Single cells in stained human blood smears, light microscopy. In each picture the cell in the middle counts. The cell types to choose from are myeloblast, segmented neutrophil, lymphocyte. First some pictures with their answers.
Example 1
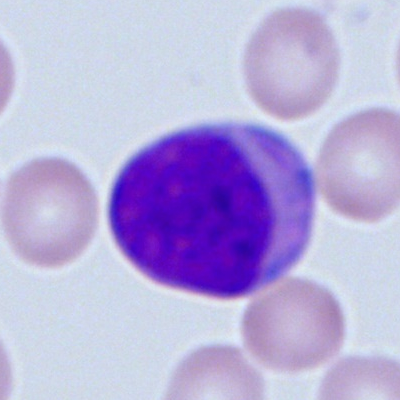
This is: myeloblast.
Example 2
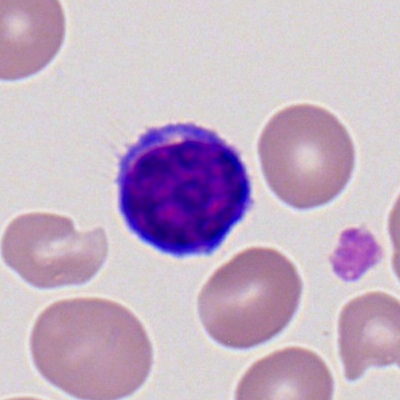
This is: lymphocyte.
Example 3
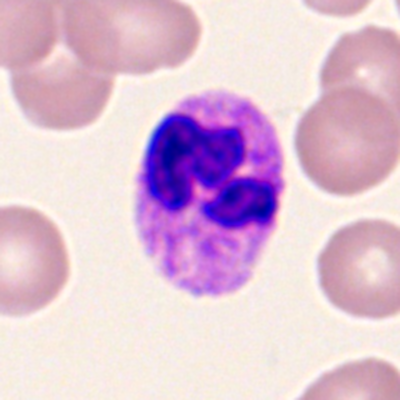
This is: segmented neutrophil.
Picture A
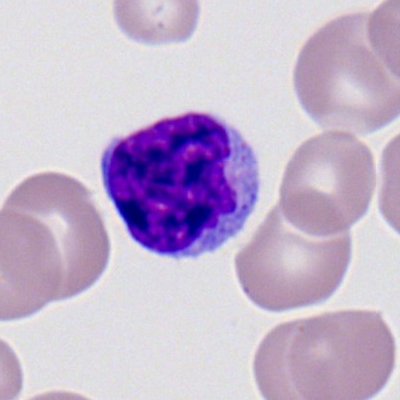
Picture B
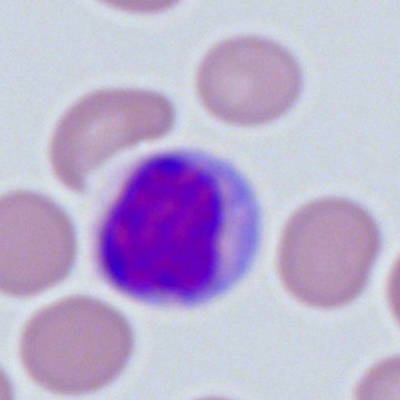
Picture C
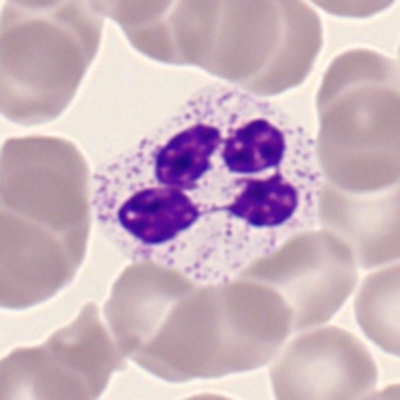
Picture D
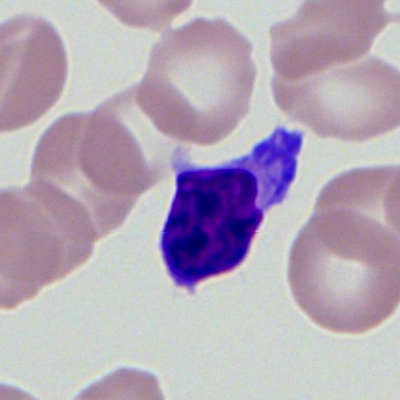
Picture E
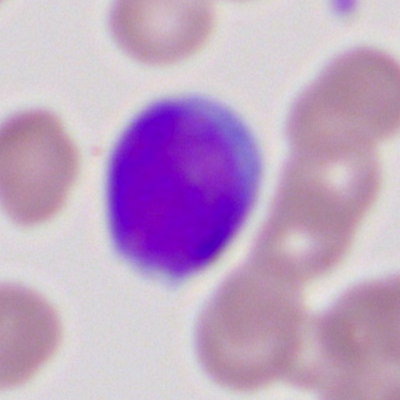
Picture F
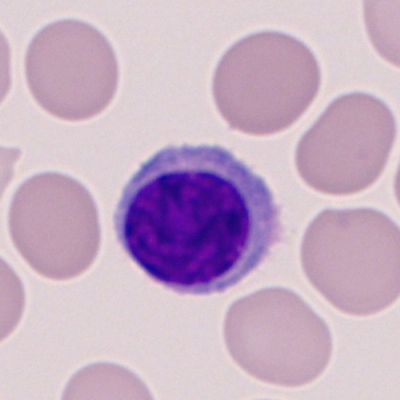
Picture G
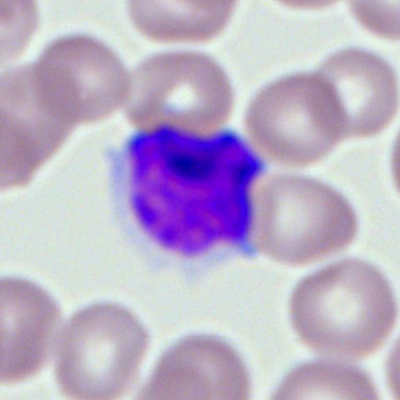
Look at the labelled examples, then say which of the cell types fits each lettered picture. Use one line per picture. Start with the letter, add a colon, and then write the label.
A: lymphocyte.
B: lymphocyte.
C: segmented neutrophil.
D: lymphocyte.
E: myeloblast.
F: lymphocyte.
G: lymphocyte.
